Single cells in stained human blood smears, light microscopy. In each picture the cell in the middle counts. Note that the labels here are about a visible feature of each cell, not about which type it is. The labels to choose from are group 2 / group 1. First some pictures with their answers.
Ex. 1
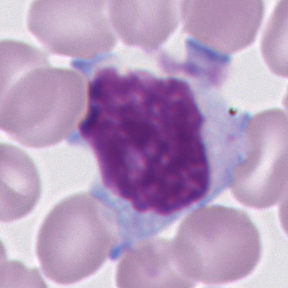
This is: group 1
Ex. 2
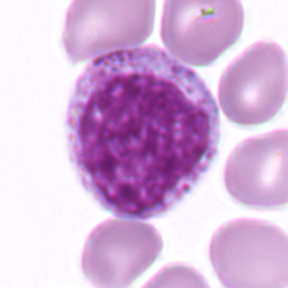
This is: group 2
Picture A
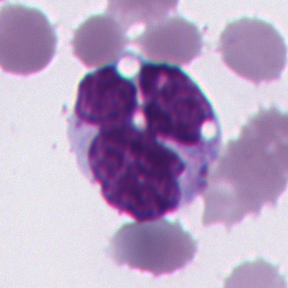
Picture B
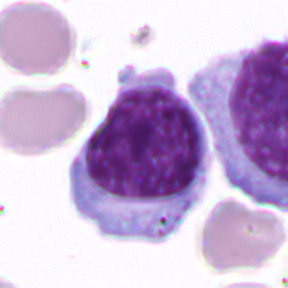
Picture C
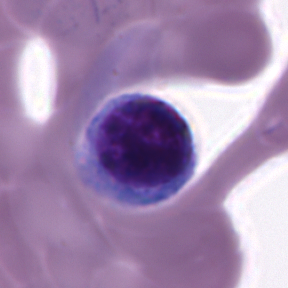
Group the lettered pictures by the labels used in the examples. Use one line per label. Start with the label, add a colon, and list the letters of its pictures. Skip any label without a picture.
group 2: A, C
group 1: B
